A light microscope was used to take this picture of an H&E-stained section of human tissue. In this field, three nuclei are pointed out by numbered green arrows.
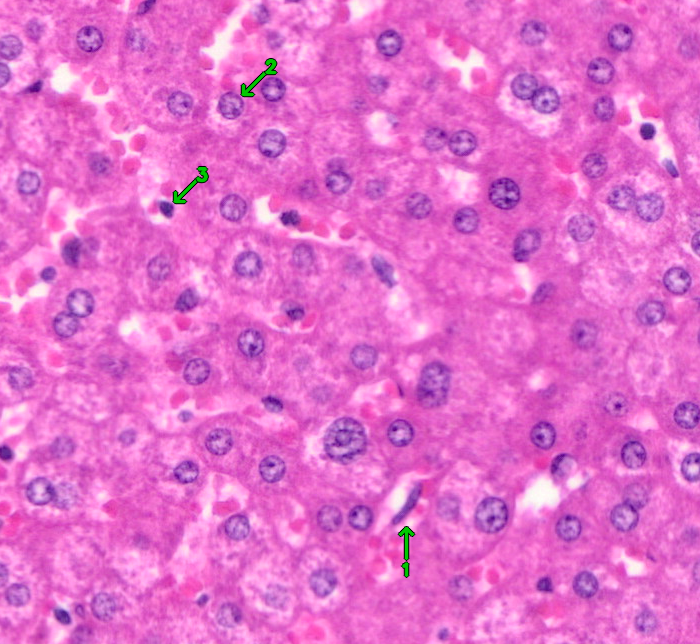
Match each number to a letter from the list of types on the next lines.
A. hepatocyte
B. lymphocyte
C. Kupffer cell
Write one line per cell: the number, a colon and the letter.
1: C
2: A
3: B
